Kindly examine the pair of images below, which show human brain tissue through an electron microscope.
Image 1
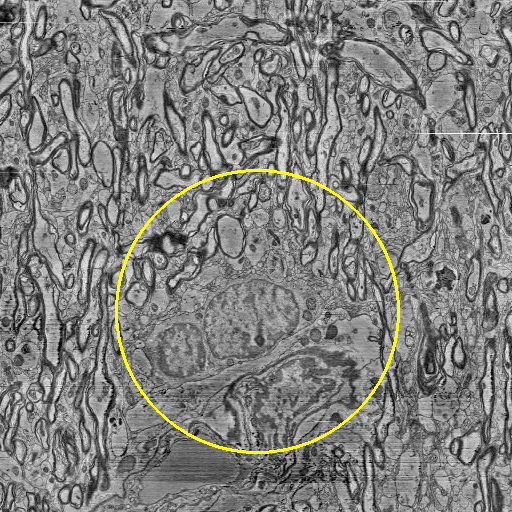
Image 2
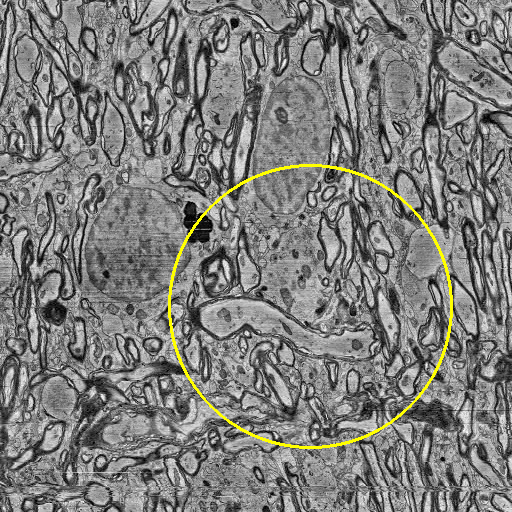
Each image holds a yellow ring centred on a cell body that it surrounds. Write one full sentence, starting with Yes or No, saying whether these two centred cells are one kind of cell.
Yes, both cells at the centres of the yellow rings belong to one kind of cell.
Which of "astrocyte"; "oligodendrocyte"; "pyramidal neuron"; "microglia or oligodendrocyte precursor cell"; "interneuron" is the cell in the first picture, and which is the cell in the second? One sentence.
In both pictures the ring is centred on an oligodendrocyte.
